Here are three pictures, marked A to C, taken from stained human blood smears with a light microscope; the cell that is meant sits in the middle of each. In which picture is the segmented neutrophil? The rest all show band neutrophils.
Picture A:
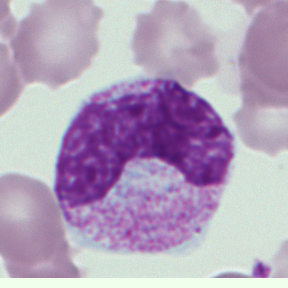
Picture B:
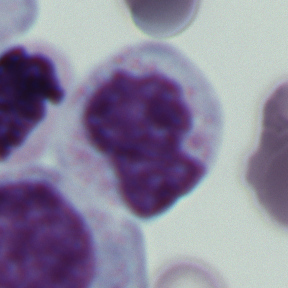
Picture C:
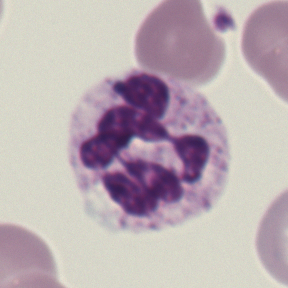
C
